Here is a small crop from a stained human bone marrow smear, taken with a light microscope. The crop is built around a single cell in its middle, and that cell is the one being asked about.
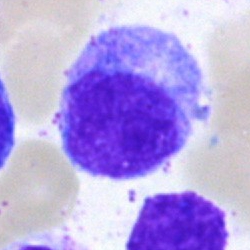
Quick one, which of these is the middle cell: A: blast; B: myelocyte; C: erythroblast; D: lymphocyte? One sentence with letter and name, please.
The correct response is option B, naming the cell in the middle as a myelocyte.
